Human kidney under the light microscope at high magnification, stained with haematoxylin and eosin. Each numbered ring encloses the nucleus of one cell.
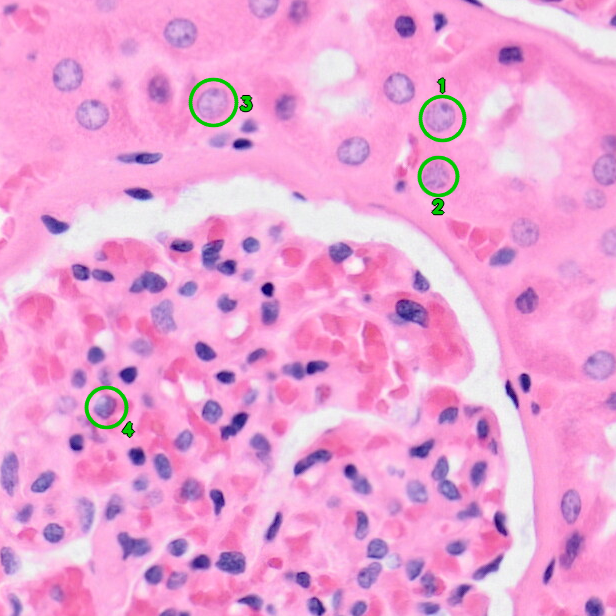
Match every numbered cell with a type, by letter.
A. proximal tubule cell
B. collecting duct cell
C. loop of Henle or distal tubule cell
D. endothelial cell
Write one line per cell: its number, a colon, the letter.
1: A
2: A
3: A
4: D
